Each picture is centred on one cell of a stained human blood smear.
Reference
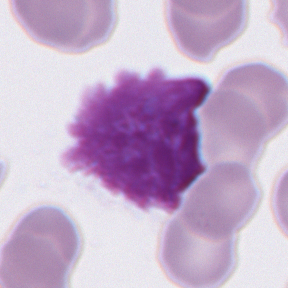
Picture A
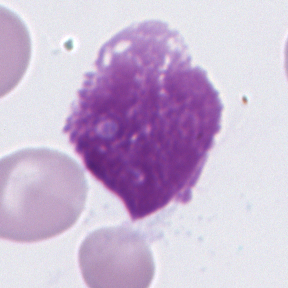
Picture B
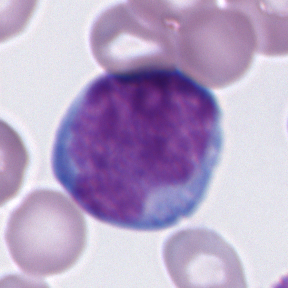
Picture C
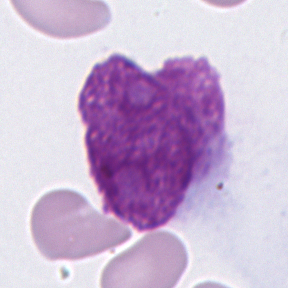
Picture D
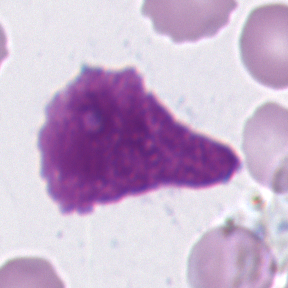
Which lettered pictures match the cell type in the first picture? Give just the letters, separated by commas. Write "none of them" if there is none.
A, C, D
